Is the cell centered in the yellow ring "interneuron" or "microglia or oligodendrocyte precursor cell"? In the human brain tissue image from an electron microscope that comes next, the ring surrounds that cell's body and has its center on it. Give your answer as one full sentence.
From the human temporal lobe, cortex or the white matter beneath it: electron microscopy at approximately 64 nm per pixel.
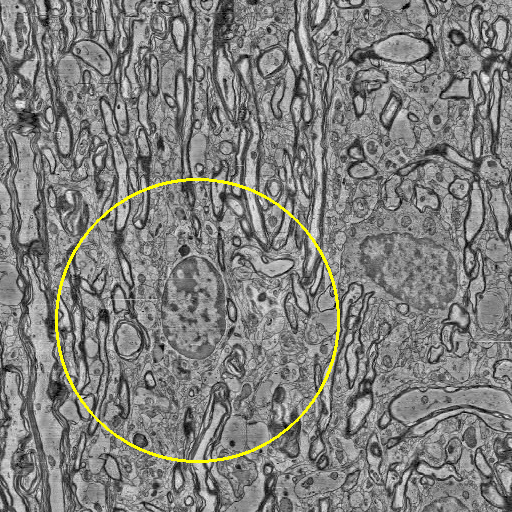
The cell at the center of the yellow ring is a microglial cell or oligodendrocyte precursor cell in the micrograph.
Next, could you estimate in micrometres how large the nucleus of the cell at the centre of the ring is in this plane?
The nucleus of the ringed cell is approximately 6 by 4 micrometres in this plane.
